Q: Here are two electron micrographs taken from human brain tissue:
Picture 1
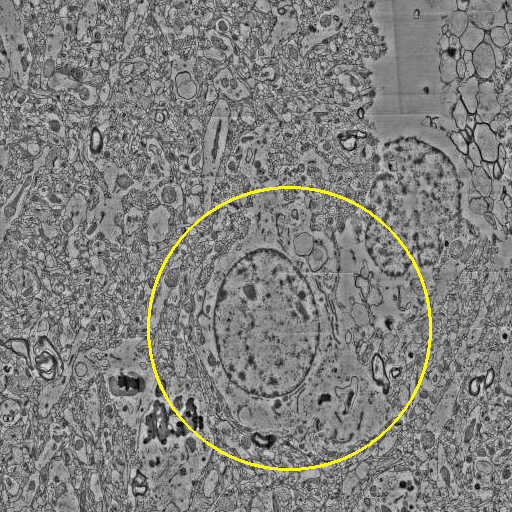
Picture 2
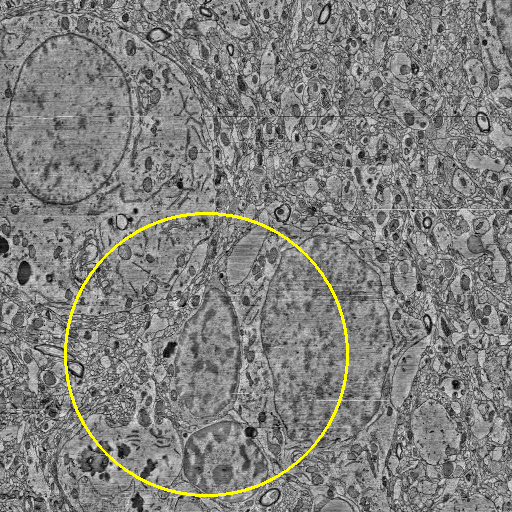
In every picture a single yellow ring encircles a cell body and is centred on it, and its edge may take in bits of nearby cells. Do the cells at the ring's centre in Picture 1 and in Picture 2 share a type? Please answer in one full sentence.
Yes, the cells at the ring's centre in Picture 1 and Picture 2 share a type.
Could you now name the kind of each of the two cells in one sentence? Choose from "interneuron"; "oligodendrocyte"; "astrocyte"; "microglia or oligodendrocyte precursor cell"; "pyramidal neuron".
Each of the two pictures has an astrocyte at the ring centre.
